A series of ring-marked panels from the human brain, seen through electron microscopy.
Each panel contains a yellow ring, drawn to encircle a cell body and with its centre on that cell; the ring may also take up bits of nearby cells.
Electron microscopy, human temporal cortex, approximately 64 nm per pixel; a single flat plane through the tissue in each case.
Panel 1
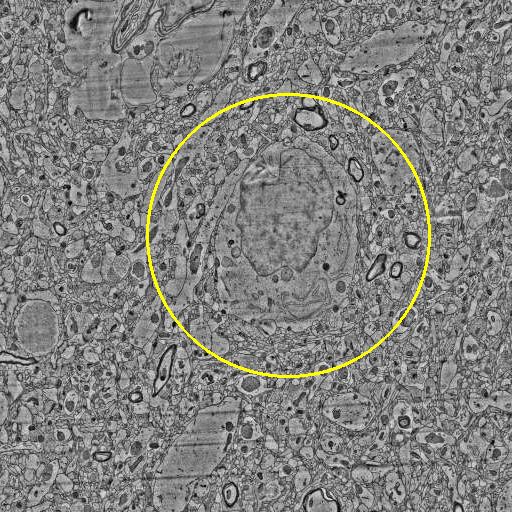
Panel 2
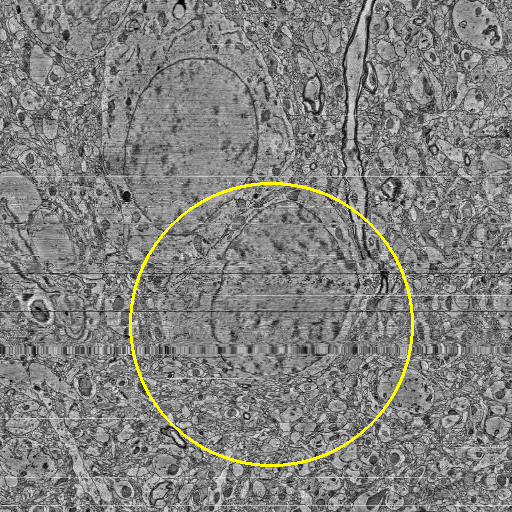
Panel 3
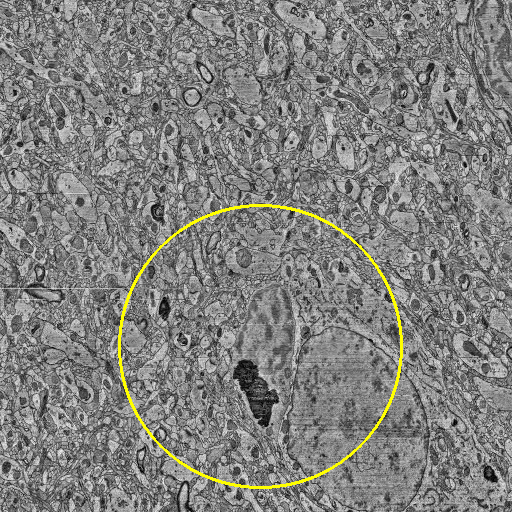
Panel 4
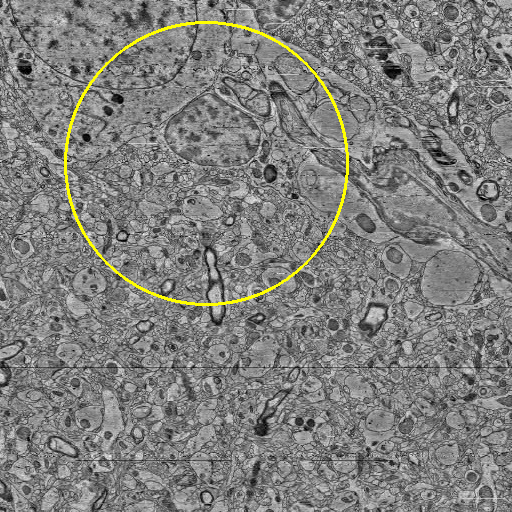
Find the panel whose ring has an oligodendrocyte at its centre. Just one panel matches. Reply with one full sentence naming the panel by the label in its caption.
The sought cell lies at the centre of the ring shown in Panel 3.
